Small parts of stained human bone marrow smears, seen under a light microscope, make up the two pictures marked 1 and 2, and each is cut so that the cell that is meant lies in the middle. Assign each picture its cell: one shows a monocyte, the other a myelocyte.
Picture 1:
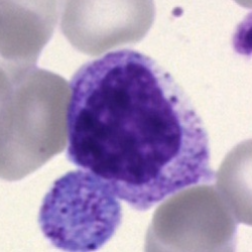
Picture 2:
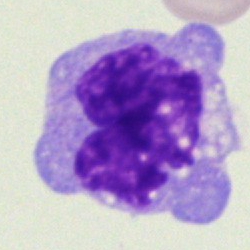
1: myelocyte
2: monocyte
